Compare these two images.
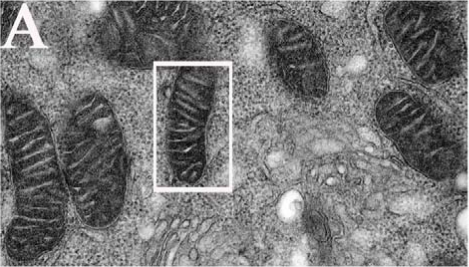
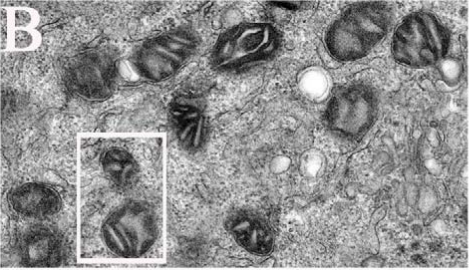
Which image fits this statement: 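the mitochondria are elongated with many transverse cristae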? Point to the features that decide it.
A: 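Second image: mitochondria are small and round with few, irregular cristae. First image: mitochondria are long ovals packed with parallel transverse cristae.
Answer: the first image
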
